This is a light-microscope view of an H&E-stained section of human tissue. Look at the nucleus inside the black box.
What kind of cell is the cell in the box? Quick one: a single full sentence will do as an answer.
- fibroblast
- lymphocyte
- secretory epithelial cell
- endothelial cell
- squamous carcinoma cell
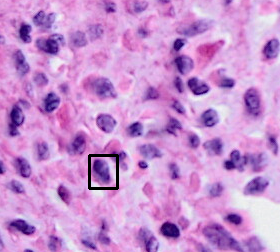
In cellular terms, the cell in the box is a lymphocyte.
